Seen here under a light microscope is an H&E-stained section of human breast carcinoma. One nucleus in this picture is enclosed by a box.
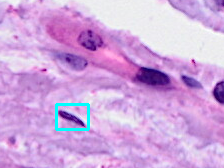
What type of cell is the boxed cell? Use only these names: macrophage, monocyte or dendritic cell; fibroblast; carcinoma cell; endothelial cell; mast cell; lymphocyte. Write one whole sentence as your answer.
The identity of the boxed cell: it is a fibroblast.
